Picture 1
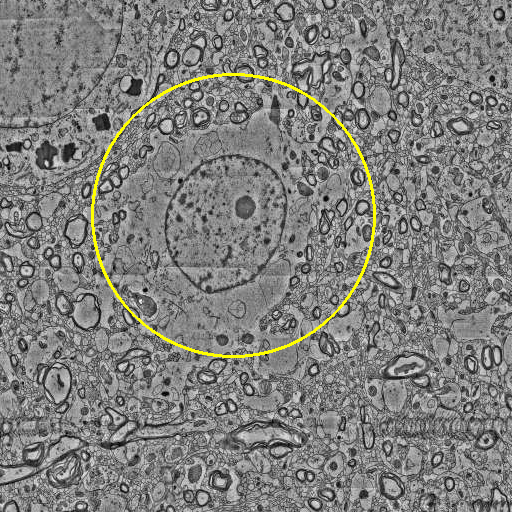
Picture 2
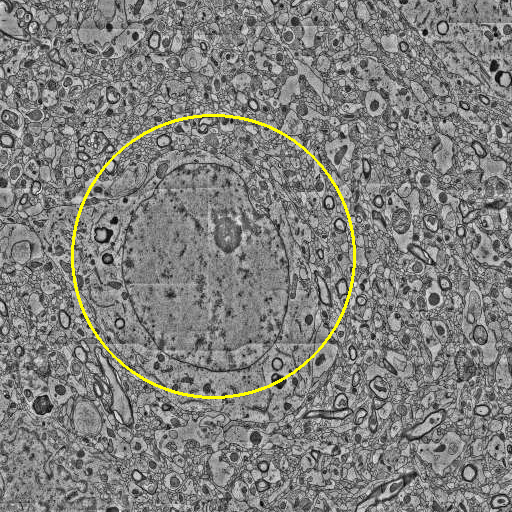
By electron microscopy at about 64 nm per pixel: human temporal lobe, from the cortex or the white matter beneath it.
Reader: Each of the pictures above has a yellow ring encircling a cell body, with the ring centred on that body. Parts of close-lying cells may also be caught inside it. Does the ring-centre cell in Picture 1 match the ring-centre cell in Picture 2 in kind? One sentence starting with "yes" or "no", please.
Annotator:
No, Picture 1 and Picture 2 show ring-centre cells of two kinds.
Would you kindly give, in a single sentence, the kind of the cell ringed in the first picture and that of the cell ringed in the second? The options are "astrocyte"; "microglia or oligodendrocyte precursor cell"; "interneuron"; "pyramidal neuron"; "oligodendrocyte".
The second cell is a pyramidal neuron, and the first cell is an astrocyte.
